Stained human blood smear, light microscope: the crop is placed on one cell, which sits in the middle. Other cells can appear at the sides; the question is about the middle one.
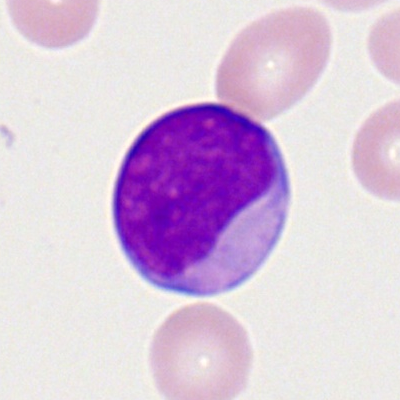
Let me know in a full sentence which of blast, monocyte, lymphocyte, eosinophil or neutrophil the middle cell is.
This crop's central cell is a blast.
